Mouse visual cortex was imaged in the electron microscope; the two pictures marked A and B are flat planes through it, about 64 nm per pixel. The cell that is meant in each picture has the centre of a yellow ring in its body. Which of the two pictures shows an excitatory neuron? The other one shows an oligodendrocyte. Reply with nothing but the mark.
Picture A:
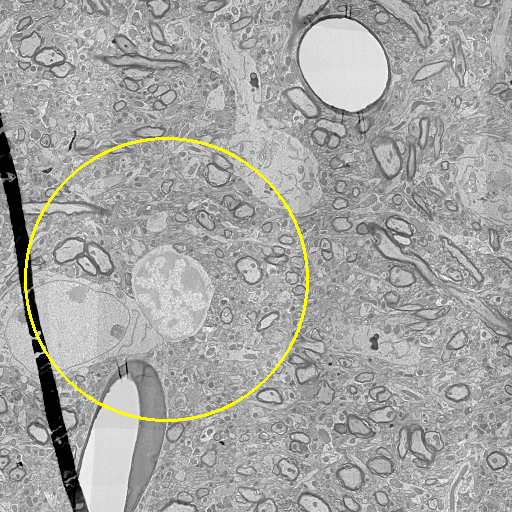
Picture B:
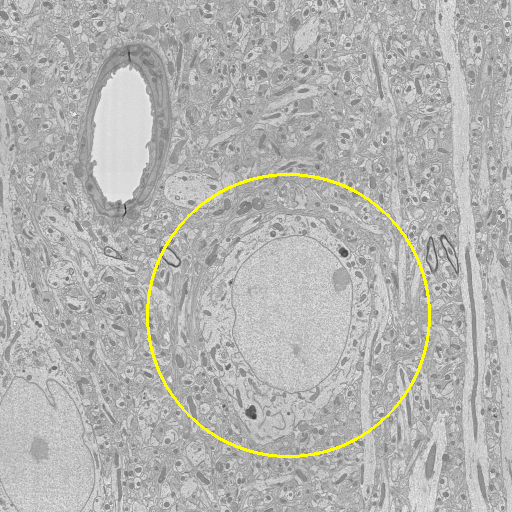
B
